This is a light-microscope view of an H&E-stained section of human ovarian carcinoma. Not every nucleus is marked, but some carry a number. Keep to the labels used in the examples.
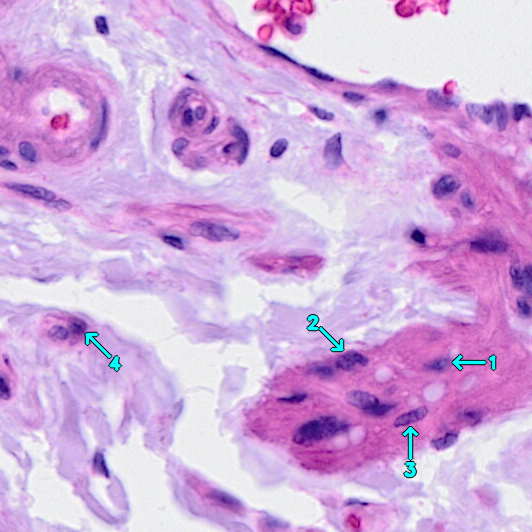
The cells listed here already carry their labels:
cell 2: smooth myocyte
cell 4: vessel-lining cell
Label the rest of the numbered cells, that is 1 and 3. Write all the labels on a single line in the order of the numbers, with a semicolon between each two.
smooth myocyte; smooth myocyte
